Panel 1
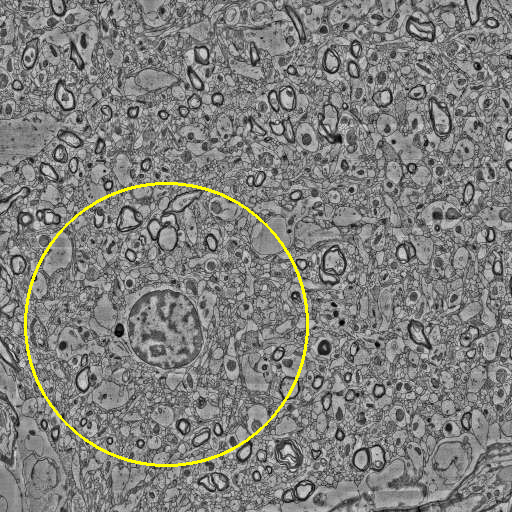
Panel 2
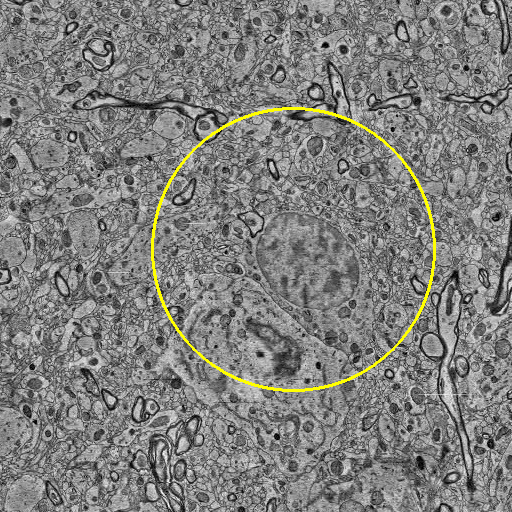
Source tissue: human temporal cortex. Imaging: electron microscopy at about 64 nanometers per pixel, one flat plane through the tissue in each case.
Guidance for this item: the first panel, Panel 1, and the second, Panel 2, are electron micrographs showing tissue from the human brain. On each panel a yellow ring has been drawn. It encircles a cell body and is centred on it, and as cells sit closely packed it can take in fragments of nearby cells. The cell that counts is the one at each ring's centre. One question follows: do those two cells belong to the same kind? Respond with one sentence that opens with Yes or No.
No, the cells at the ring centres in Panel 1 and Panel 2 are of two kinds.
